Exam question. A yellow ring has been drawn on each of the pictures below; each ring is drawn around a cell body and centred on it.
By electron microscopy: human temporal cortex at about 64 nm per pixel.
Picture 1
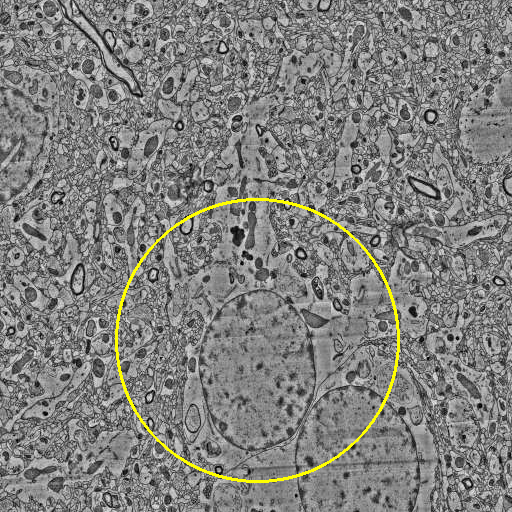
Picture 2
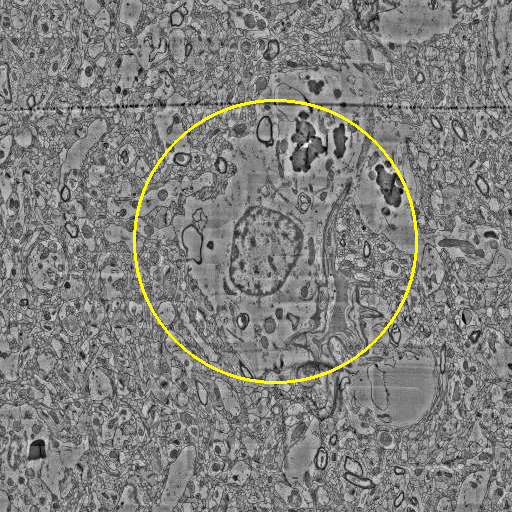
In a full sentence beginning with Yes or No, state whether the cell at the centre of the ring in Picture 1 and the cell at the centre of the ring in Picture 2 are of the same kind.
Yes, the two cells are of the same kind.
